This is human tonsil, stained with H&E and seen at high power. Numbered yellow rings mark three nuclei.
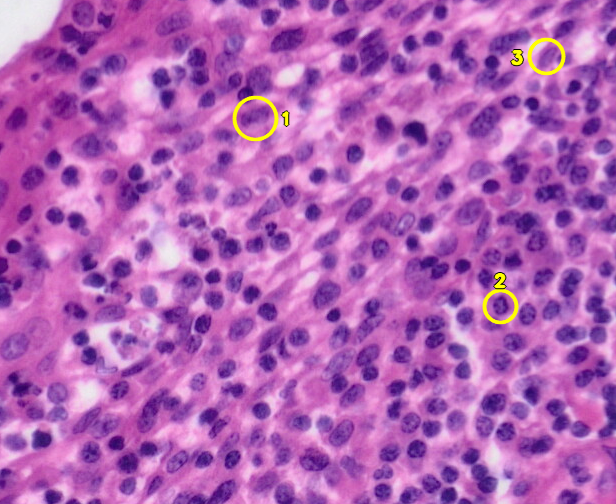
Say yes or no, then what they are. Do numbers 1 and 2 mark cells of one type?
No, by type, cell 1 is a squamous epithelial cell and cell 2 is a plasma cell.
